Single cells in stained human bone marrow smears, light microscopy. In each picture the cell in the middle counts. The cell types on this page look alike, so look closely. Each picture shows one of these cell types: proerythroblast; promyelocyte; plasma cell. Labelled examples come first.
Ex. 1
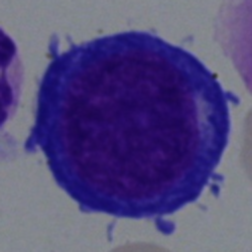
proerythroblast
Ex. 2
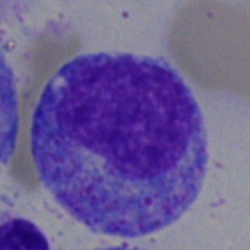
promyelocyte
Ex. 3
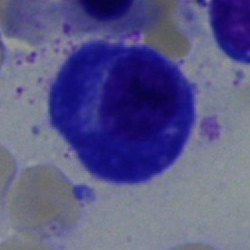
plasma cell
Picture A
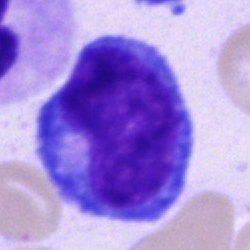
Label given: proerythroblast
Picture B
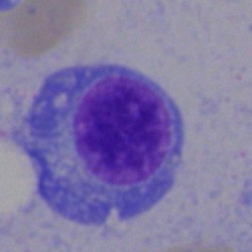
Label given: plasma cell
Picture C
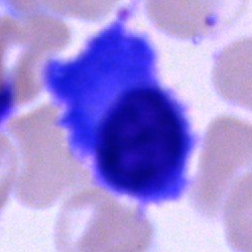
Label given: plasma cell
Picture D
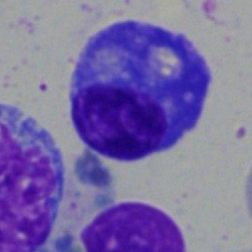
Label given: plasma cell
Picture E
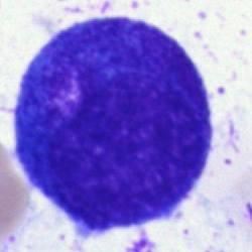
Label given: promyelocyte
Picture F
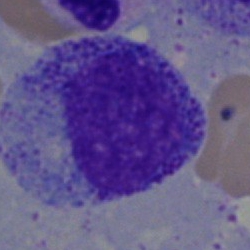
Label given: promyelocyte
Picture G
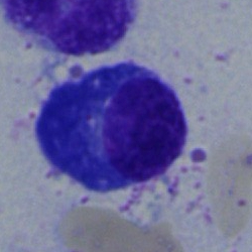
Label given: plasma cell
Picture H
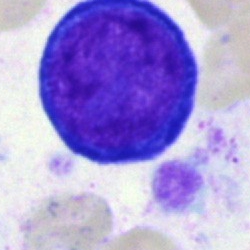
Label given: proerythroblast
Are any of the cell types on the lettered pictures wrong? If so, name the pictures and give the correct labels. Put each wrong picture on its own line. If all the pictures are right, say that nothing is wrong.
Every label is right.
